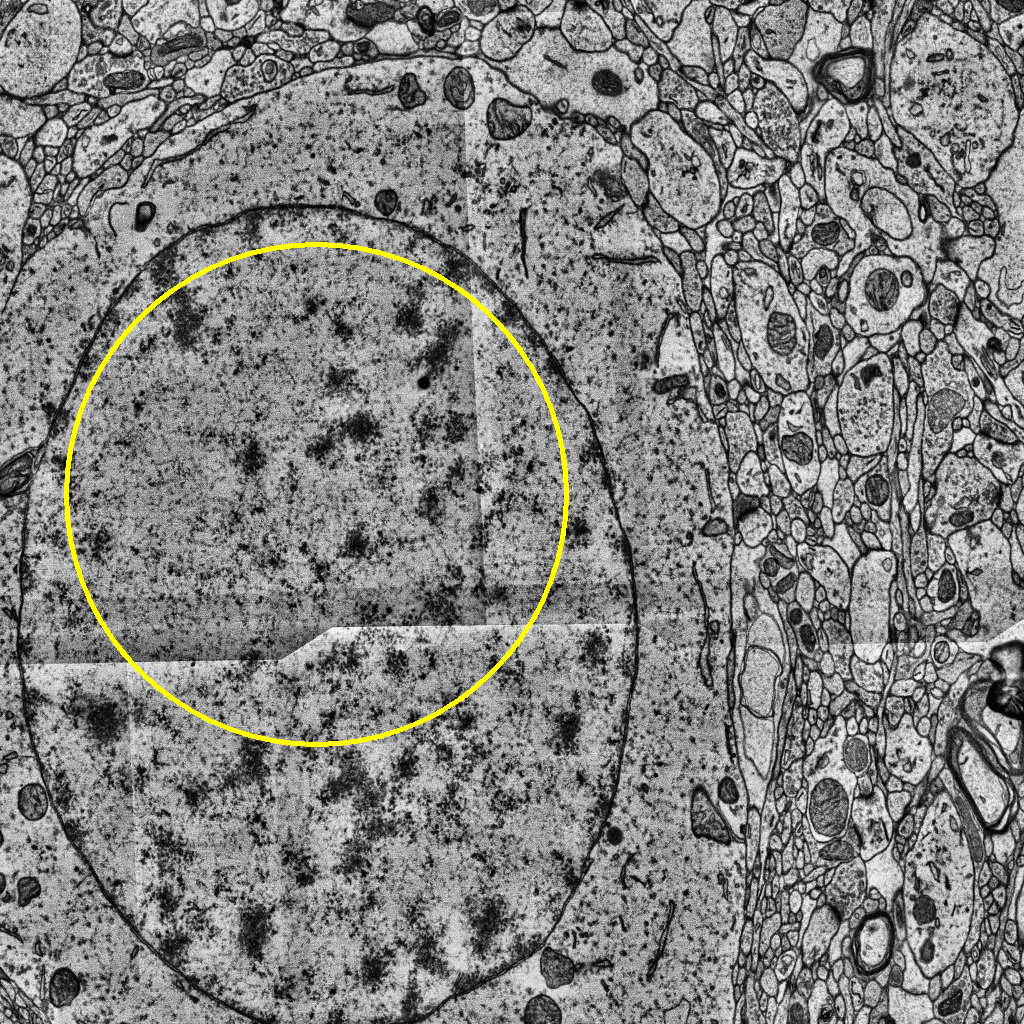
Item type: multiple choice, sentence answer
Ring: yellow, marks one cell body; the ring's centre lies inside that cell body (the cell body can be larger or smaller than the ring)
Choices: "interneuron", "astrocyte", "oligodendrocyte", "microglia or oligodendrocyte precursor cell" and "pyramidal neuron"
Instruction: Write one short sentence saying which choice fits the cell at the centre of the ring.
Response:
The centre of this ring lies on a pyramidal neuron.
